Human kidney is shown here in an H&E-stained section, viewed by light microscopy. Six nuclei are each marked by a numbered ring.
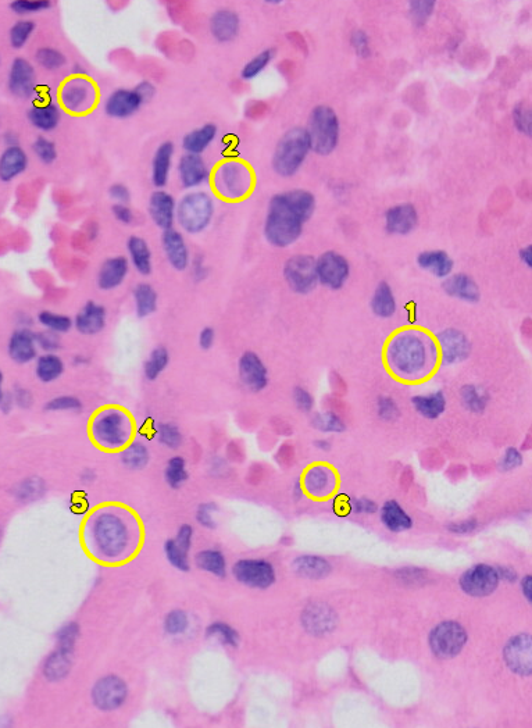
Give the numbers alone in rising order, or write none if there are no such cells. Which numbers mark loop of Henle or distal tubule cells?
1, 5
